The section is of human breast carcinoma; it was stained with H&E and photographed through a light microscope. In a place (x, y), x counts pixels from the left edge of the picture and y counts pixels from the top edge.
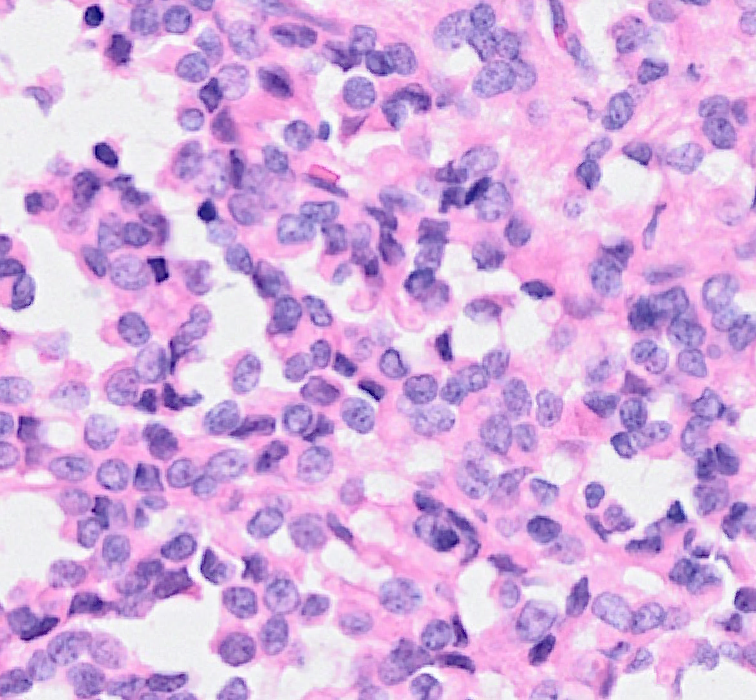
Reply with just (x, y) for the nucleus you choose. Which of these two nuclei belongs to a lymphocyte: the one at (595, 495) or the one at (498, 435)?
(595, 495)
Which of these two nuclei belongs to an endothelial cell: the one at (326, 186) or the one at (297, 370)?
(326, 186)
